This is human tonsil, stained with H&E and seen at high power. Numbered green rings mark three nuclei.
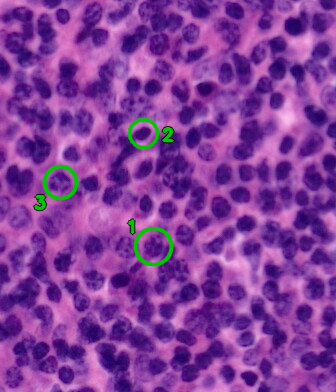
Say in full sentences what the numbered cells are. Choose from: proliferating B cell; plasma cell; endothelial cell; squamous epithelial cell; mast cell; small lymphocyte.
Cell 1 is a plasma cell, cell 2 is a small lymphocyte and cell 3 is a plasma cell.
